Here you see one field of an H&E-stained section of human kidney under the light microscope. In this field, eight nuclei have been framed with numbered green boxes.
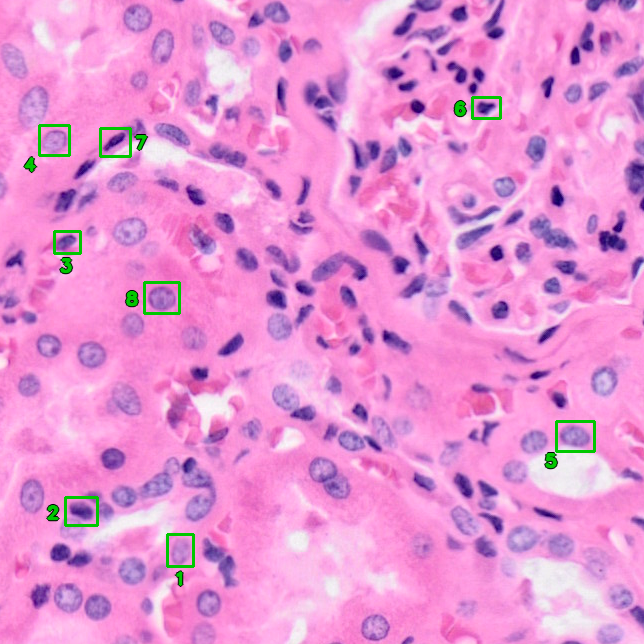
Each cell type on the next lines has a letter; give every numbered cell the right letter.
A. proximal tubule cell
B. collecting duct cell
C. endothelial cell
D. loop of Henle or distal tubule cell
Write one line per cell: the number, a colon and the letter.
1: B
2: B
3: C
4: A
5: D
6: C
7: B
8: A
